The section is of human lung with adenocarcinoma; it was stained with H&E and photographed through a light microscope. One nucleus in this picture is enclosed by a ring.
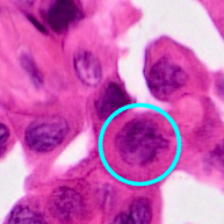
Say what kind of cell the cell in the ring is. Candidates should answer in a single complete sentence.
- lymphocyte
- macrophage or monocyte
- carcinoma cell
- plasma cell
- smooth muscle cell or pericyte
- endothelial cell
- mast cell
In terms of identity, the cell in the ring is a carcinoma cell.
